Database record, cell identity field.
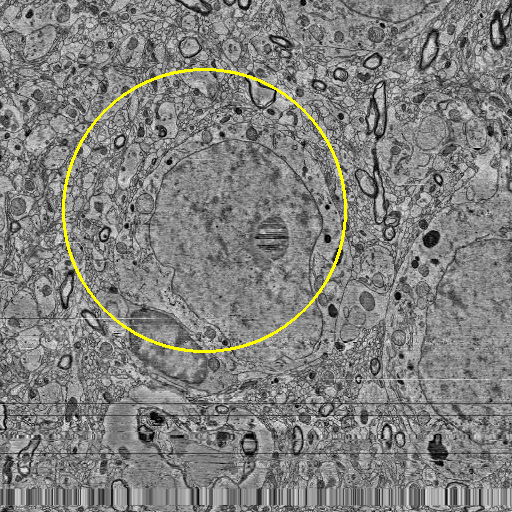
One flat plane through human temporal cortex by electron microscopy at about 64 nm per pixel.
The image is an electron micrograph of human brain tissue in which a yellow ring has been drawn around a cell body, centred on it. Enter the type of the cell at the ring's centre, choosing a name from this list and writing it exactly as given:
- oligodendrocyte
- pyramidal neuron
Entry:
pyramidal neuron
